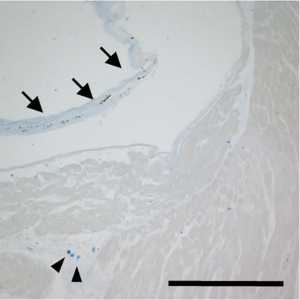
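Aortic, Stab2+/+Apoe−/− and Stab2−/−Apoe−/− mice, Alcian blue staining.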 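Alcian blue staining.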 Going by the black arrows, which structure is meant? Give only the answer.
root valve leaflets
